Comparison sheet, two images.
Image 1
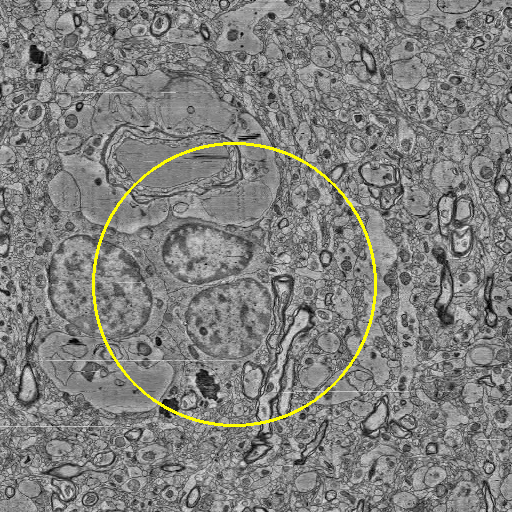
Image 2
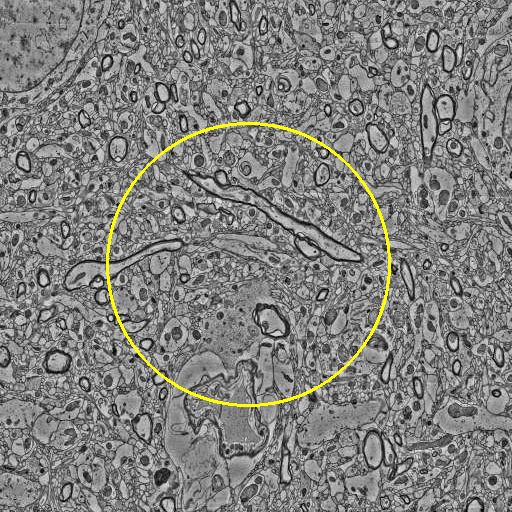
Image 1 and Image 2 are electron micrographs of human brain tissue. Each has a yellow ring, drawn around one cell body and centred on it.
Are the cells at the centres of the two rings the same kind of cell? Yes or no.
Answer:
yes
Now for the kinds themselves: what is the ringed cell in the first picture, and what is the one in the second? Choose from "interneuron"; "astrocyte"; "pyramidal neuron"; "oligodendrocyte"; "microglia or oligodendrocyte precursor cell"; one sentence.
Each of the two cells is an oligodendrocyte.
